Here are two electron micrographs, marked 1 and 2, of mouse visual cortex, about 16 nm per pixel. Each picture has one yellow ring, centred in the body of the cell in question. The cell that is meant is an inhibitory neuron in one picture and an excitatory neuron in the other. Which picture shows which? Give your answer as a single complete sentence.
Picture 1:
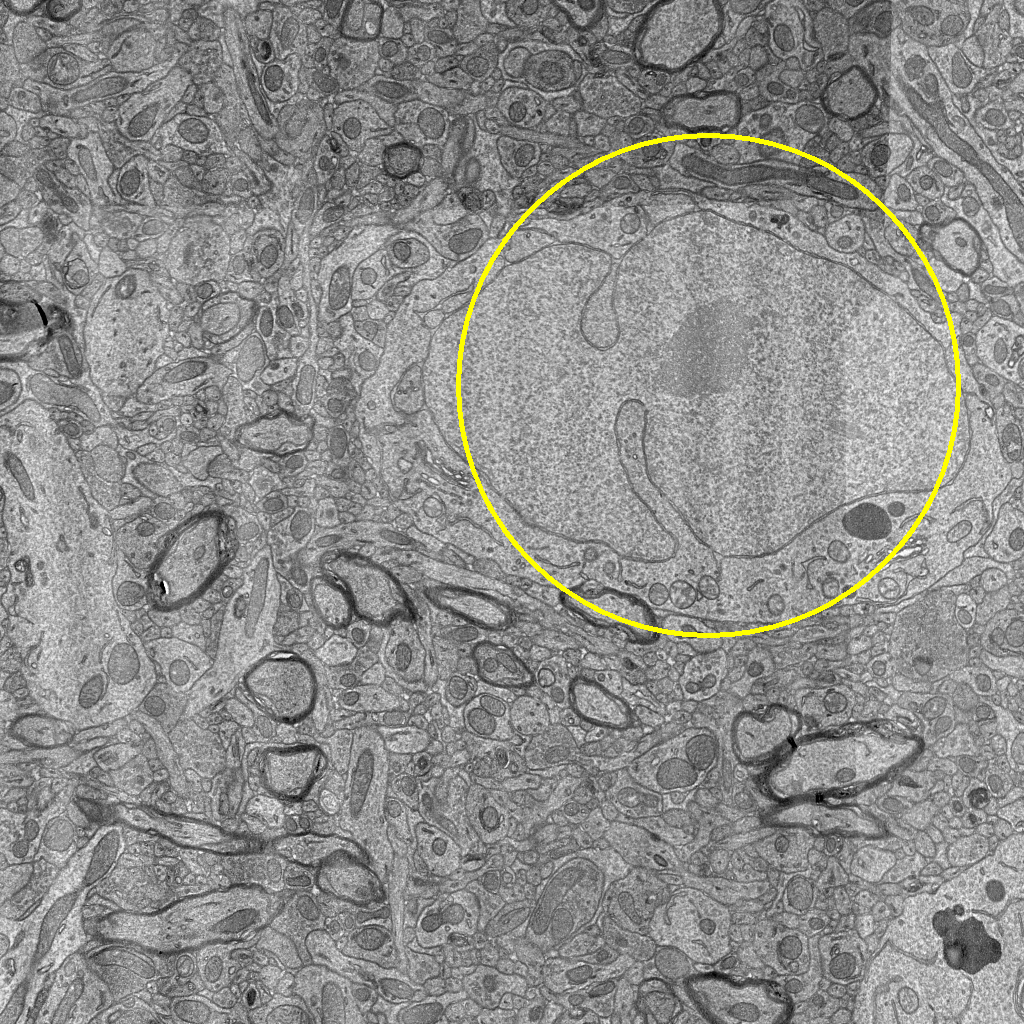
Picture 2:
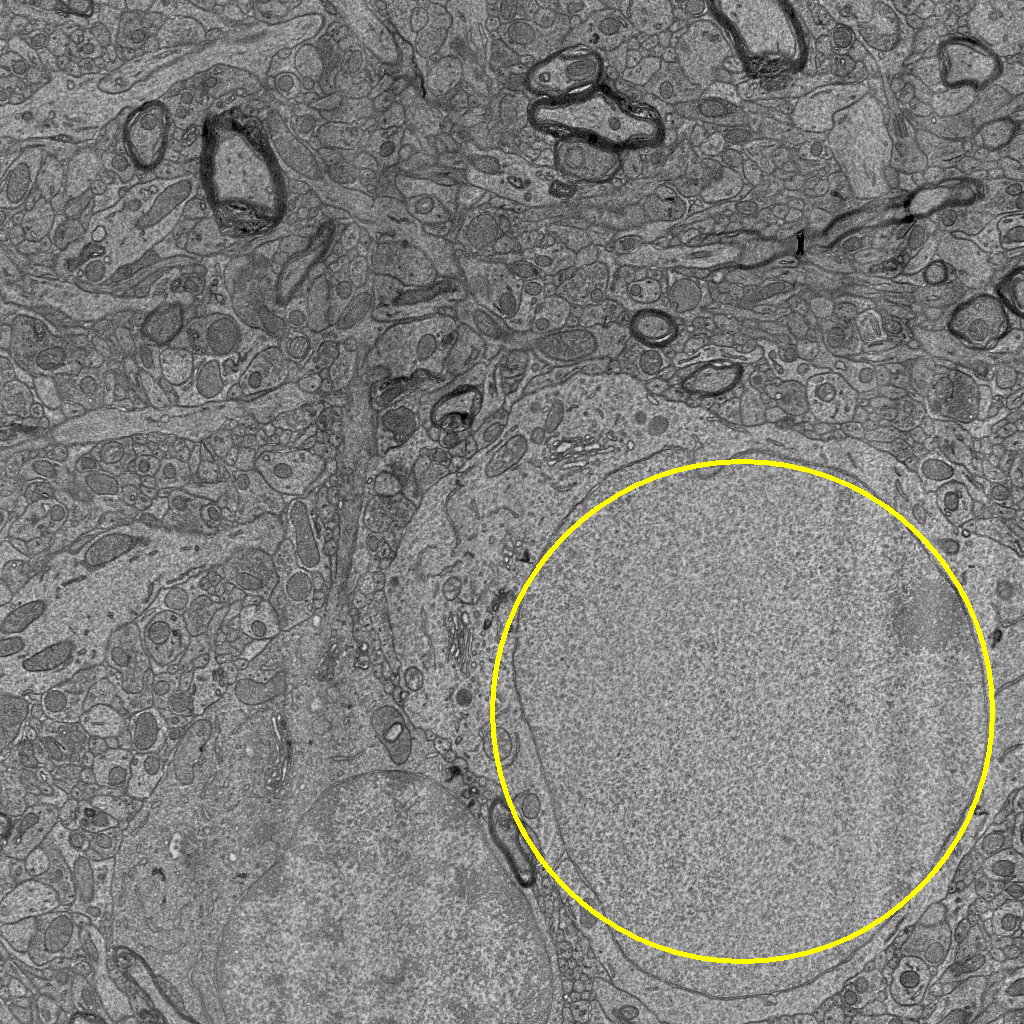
It is picture 1 that shows an inhibitory neuron, and picture 2 that shows an excitatory neuron.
